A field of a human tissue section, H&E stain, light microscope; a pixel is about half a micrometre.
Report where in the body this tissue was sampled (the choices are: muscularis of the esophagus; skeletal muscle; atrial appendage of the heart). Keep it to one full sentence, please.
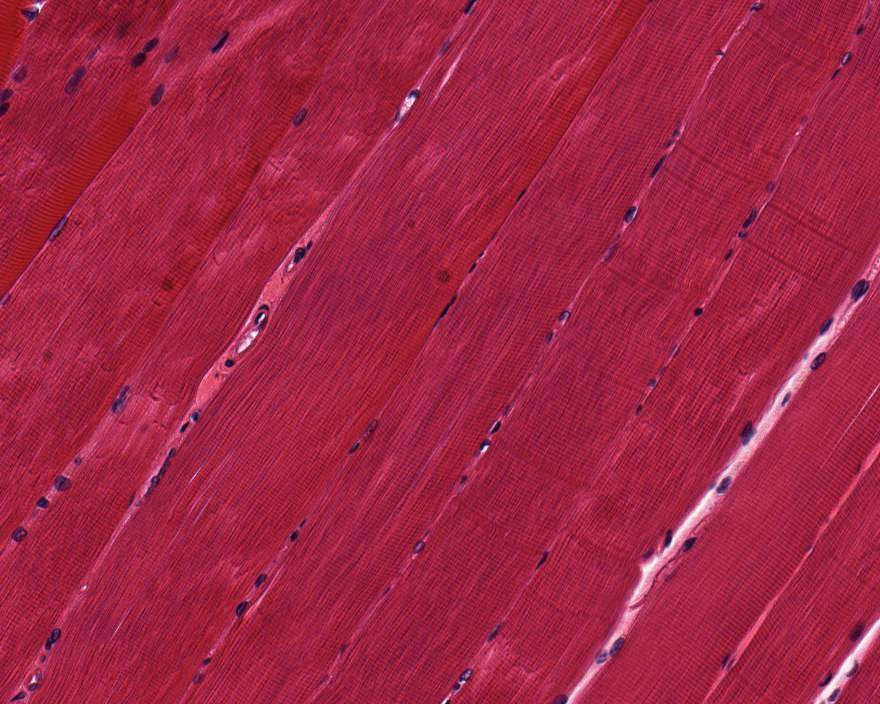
The sample used for this section is from the skeletal muscle.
